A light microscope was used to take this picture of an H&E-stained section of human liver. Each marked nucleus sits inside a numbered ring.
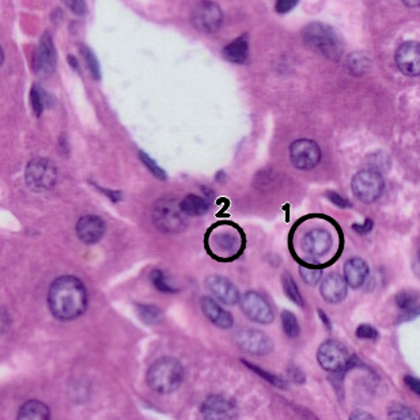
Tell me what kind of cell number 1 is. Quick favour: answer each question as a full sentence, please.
Of the numbered cells, the one labelled 1 is a cholangiocyte.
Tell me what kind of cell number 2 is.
The cell to which the number 2 is assigned is a fibroblast or stellate cell.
